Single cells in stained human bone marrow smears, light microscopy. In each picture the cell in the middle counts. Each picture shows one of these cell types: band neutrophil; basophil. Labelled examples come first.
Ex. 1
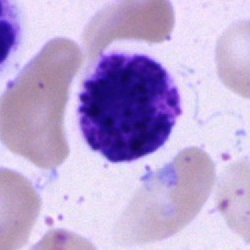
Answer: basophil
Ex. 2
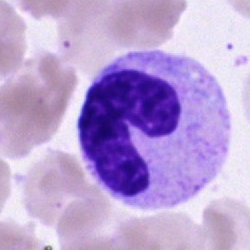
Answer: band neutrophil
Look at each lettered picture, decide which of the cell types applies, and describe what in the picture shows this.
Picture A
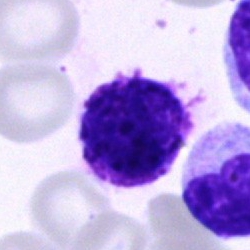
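basophil: The cytoplasm is very scant, with the nucleus filling almost the whole cell.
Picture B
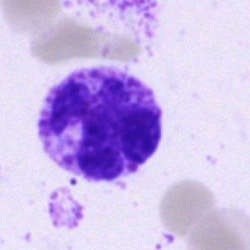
basophil: The nucleus fills most of the cell and lies toward its right side.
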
